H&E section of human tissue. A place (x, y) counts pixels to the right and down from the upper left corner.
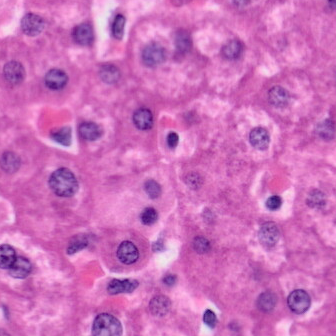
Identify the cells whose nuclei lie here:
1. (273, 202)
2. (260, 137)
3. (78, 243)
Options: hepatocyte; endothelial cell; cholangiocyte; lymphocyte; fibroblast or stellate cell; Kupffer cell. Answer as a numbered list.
1. lymphocyte
2. hepatocyte
3. endothelial cell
